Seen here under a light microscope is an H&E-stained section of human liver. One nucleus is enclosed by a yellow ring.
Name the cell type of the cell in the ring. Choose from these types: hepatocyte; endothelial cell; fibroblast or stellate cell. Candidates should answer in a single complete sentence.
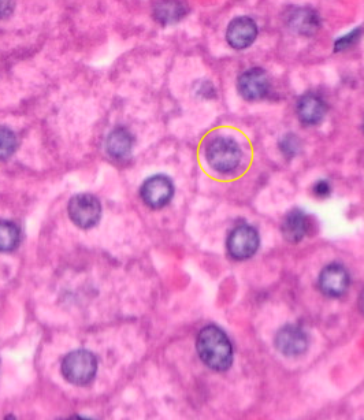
In this tissue sample, the cell in the ring is a hepatocyte.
